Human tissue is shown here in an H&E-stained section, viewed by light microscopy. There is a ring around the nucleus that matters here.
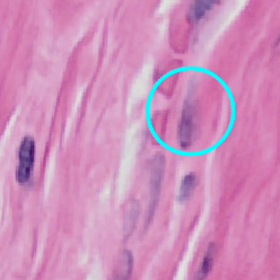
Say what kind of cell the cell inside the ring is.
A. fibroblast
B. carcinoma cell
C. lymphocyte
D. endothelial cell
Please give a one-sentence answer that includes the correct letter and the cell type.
Of all the options, D is right, since the cell inside the ring is an endothelial cell.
